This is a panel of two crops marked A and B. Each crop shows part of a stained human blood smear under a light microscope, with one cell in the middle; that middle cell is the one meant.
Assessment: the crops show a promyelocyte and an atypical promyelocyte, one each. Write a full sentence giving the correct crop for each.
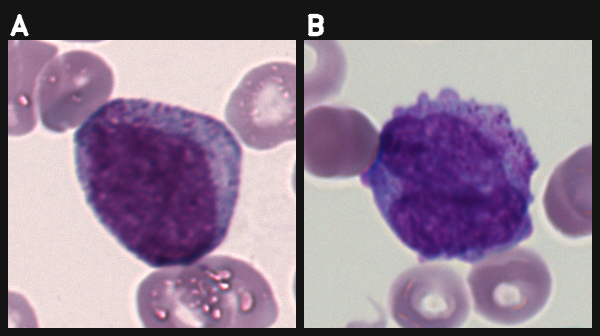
What is seen in crop A is a promyelocyte; what is seen in crop B is an atypical promyelocyte.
